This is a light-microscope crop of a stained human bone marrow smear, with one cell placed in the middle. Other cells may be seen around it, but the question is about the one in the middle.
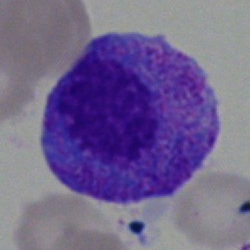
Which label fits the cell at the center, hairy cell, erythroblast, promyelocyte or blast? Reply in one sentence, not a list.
The cell sitting right in the middle is a promyelocyte.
